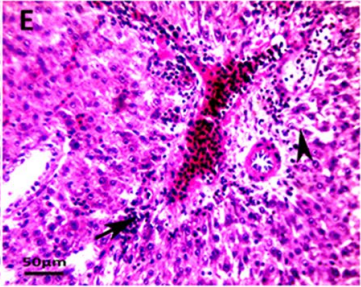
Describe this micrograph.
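Liver tissue with hepatocytes with pink cytoplasm and round nuclei around a central vessel. The vessel is packed with blood cells, and dense clusters of small, dark, round nuclei of inflammatory cells gather in the tissue beside it. A smaller vessel lies nearby. Some hepatocytes have paler, irregular cytoplasm.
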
